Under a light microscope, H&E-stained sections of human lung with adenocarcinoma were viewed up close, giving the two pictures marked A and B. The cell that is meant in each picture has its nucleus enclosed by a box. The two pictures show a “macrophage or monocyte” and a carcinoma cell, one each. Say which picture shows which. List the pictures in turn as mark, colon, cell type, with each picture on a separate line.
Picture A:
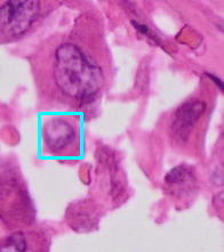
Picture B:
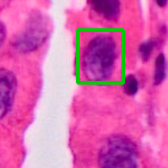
A: macrophage or monocyte
B: carcinoma cell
